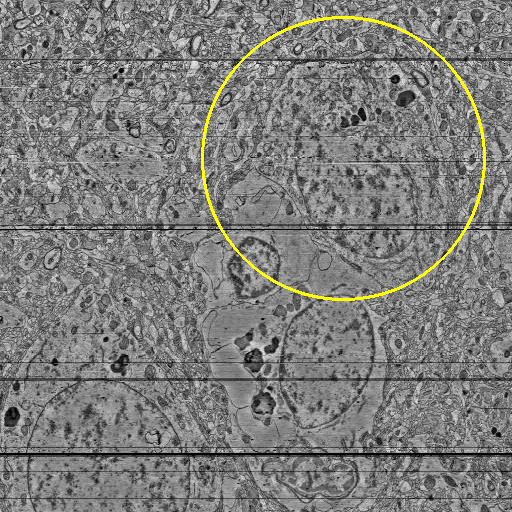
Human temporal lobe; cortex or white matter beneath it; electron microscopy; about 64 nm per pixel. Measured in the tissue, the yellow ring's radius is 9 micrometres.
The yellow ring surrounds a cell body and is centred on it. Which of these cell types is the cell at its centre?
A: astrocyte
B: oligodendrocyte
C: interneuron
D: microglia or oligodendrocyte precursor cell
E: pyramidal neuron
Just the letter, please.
C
